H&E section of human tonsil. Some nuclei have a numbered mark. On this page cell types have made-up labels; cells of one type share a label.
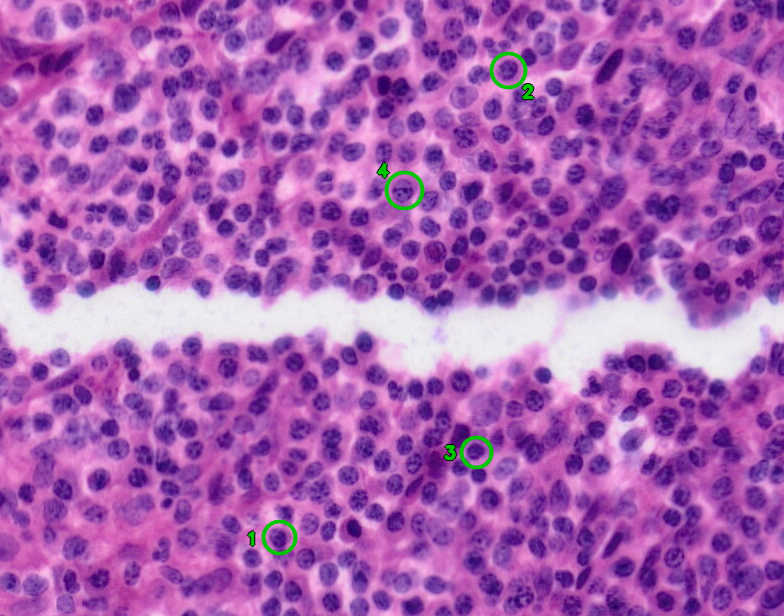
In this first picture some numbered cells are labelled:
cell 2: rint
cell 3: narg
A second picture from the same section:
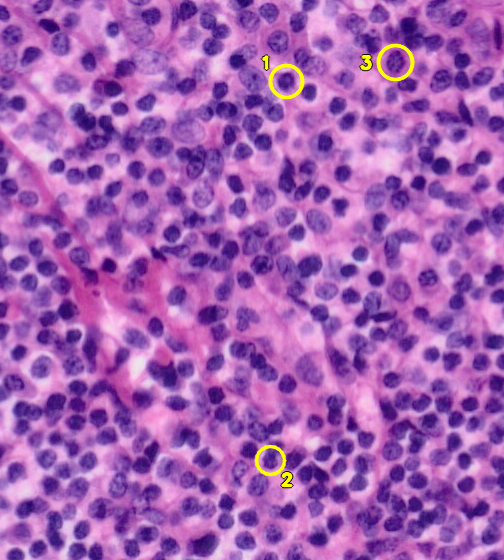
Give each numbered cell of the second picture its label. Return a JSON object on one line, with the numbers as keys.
{"1": "rint", "2": "narg", "3": "rint"}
